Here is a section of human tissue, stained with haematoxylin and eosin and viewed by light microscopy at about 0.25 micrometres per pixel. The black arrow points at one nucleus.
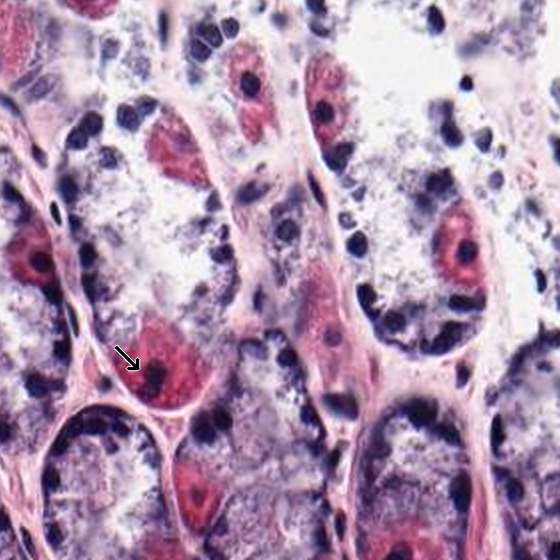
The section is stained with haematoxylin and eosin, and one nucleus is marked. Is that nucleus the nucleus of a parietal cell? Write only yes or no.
yes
